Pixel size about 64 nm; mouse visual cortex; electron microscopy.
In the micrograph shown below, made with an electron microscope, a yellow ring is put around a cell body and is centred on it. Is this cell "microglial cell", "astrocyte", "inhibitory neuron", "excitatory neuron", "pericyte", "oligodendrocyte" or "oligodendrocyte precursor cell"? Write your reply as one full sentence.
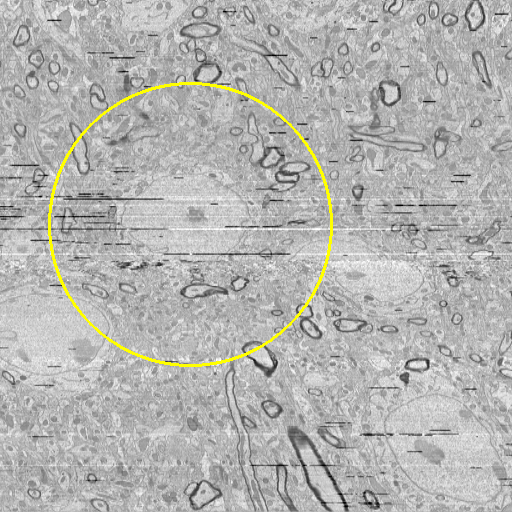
In the micrograph, an inhibitory neuron is the cell at the centre of the yellow ring.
